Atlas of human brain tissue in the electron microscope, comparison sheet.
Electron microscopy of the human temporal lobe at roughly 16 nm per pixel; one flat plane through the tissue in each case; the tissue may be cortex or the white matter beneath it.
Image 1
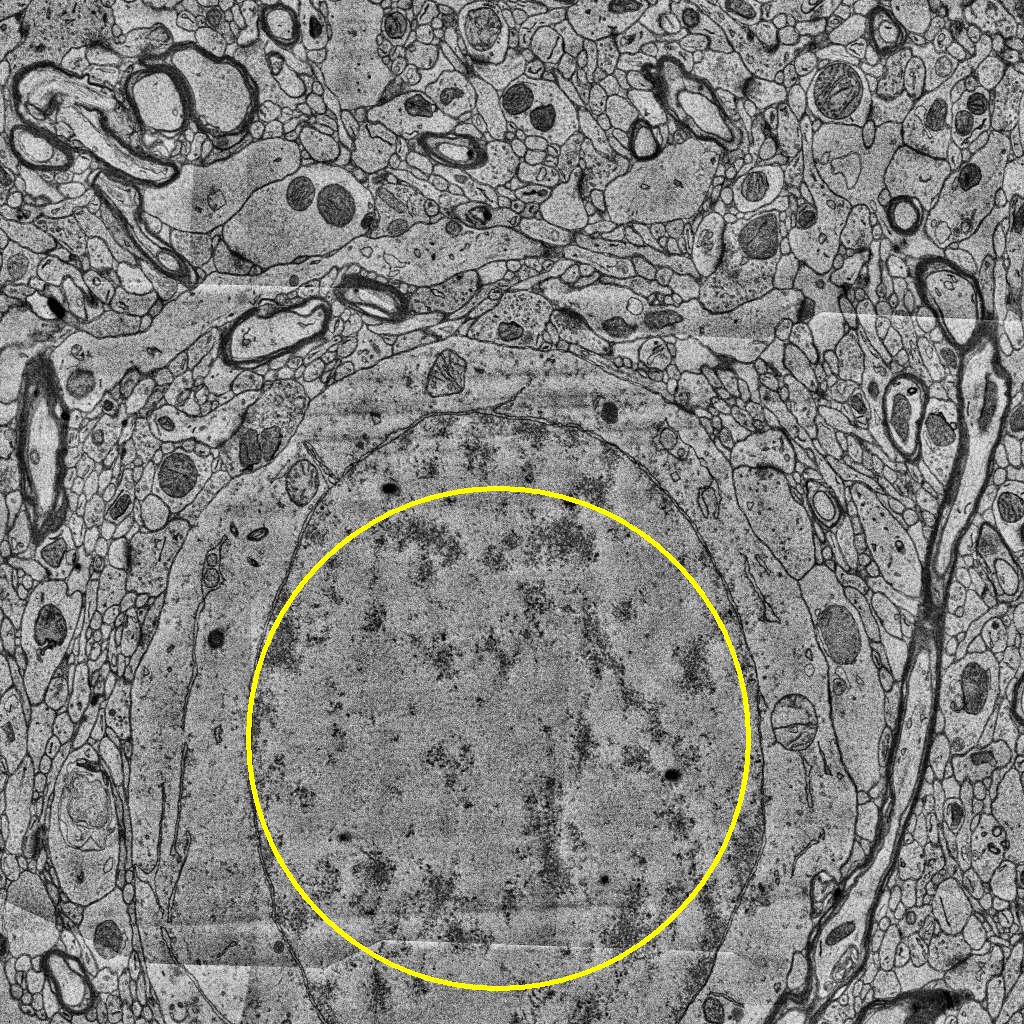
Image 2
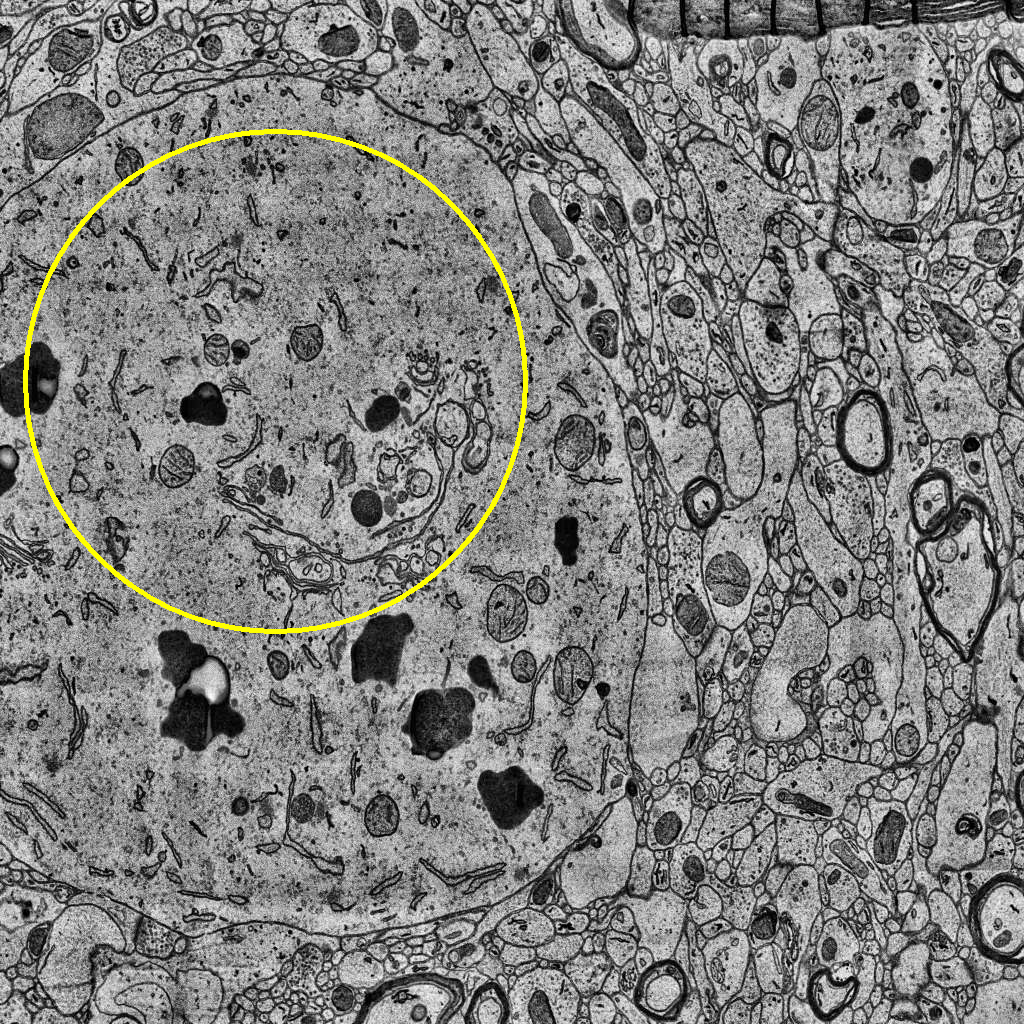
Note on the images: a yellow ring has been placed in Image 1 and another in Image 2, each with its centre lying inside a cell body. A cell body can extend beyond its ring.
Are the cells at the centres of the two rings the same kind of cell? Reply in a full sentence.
Yes, both cells are of the same kind.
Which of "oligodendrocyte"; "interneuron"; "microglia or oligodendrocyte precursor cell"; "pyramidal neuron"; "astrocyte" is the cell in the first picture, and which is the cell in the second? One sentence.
The cell at the ring centre is a pyramidal neuron in both pictures.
